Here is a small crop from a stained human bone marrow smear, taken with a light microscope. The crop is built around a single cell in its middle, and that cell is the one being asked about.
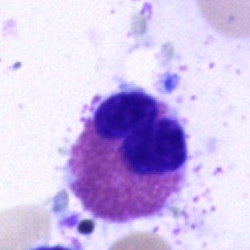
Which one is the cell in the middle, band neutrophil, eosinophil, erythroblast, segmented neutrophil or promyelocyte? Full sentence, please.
Where the crop is centred, there is an eosinophil.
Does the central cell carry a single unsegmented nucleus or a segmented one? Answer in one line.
This cell has a nucleus made up of two or more segments.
